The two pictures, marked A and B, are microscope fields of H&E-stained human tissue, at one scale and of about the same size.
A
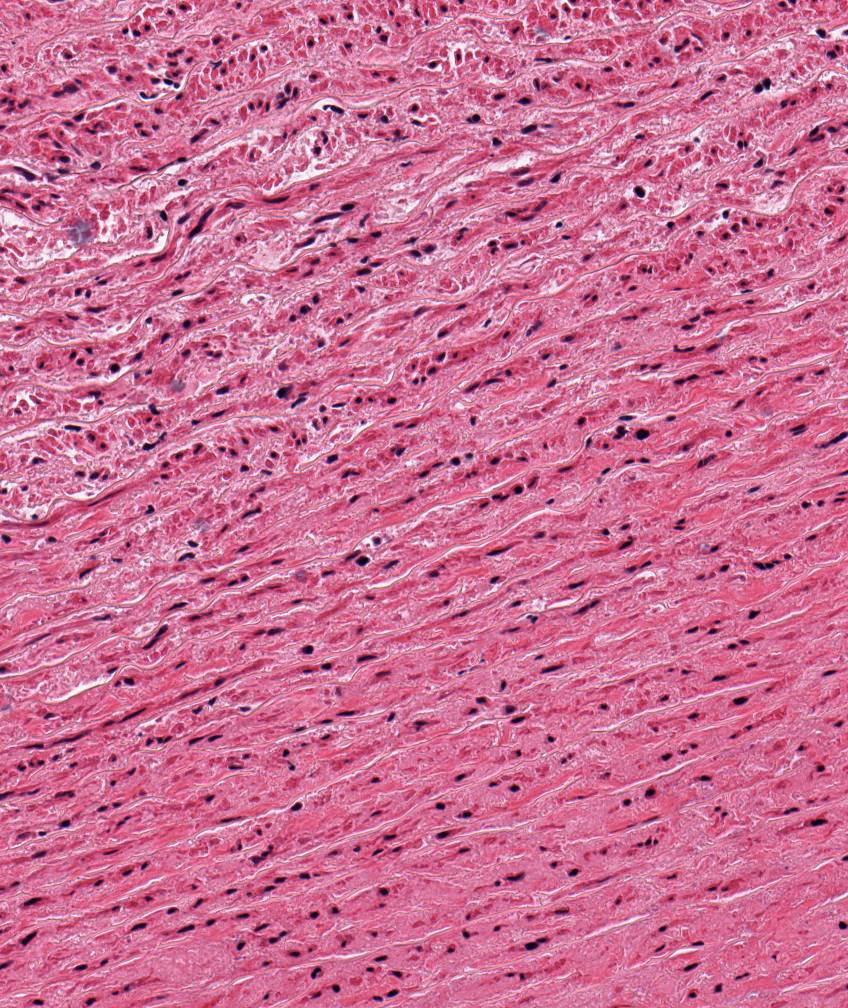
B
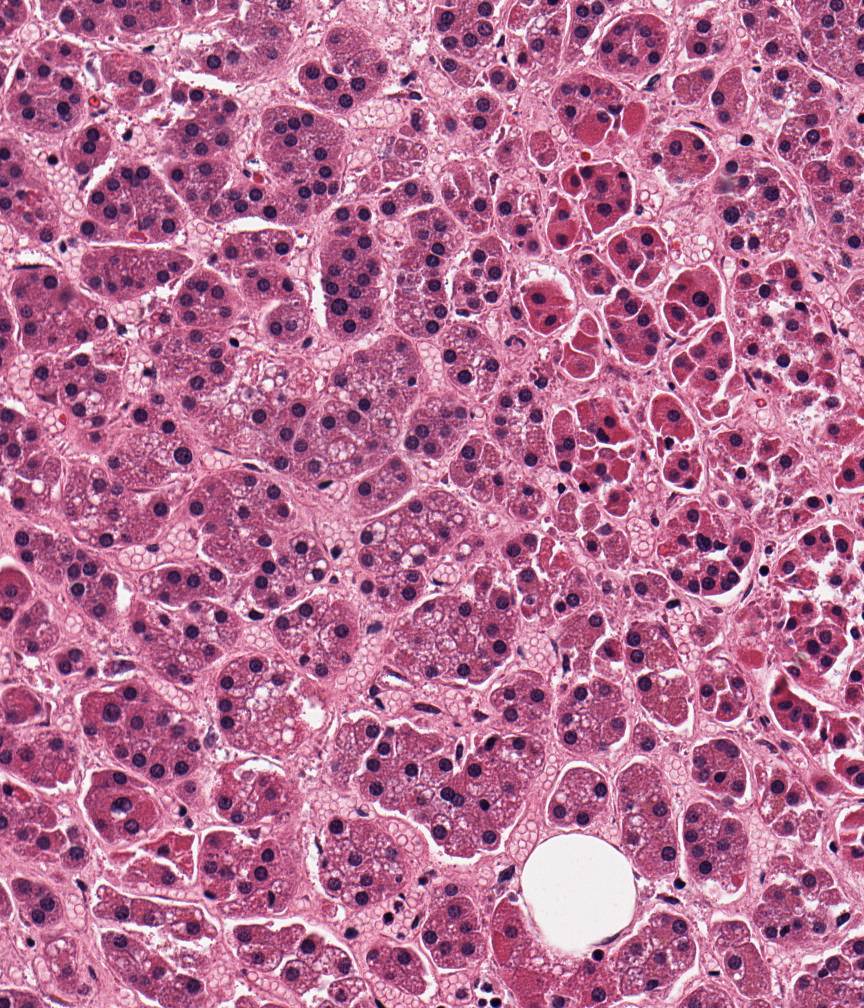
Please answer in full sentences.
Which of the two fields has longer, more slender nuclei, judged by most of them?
Longer, more slender nuclei lie in field A.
